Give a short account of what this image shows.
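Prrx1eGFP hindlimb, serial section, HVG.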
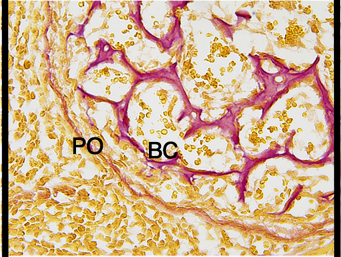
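Magenta-red strands of osteoid form a branching, net-like framework of thin trabeculae that enclose rounded spaces. On the outer side, several layers of elongated, spindle-shaped cells stained yellow-brown run in parallel, wrapping around the forming bone like a sleeve. Within the spaces of the magenta network lie loosely scattered small rounded yellow cells, with a few flattened cells closely applied to the magenta strands.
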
